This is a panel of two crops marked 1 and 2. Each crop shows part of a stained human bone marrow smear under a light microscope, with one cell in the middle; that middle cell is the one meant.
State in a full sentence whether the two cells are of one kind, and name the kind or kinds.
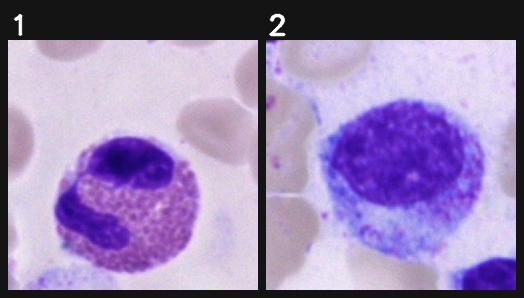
No, crop 1 is of an eosinophil, and crop 2 is of a myelocyte.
